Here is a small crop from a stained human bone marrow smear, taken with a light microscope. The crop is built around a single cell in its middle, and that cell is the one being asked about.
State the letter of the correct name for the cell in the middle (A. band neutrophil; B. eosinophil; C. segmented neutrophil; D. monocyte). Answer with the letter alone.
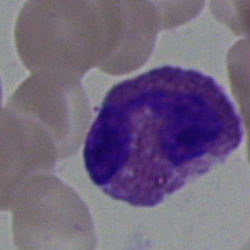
B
